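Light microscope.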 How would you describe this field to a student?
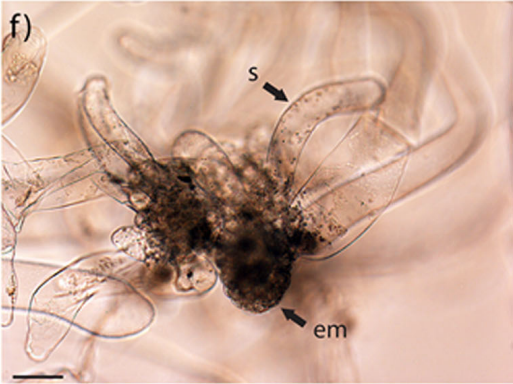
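A rounded cluster of small, densely packed, dark granular cells sits at the lower centre, with a smooth curved lower edge. From its upper side several long, clear, thin-walled tubular cells fan outwards, their contents mostly transparent with scattered fine granules. Around it lie more of these tubular cells out of focus. The dense round head with its trailing elongated clear cells is an early embryo: a globular embryonal mass with suspensor cells attached on one side.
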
